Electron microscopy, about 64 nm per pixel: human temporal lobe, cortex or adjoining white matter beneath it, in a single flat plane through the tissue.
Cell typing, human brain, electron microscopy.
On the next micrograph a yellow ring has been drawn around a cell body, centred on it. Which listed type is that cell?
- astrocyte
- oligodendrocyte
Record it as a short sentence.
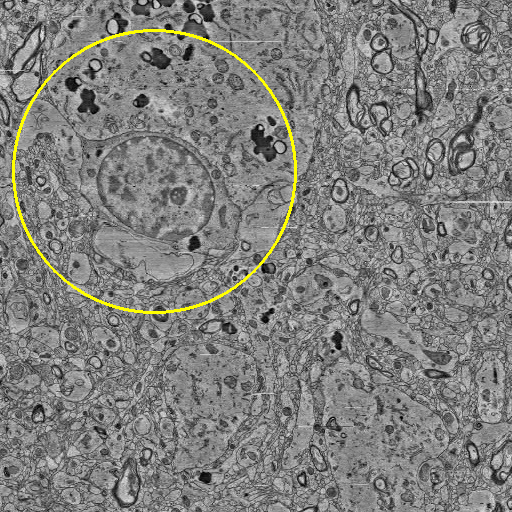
The cell body in the ring's centre belongs to an oligodendrocyte.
